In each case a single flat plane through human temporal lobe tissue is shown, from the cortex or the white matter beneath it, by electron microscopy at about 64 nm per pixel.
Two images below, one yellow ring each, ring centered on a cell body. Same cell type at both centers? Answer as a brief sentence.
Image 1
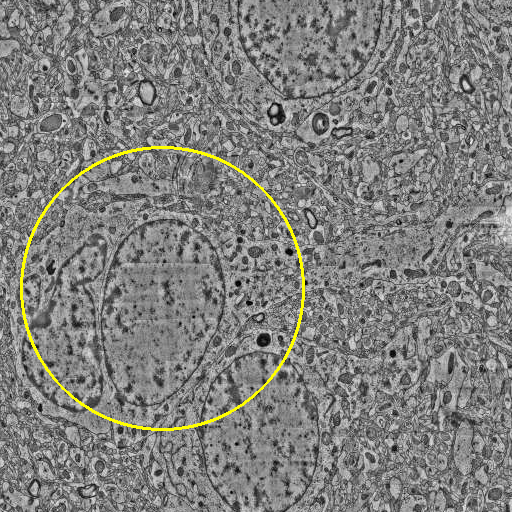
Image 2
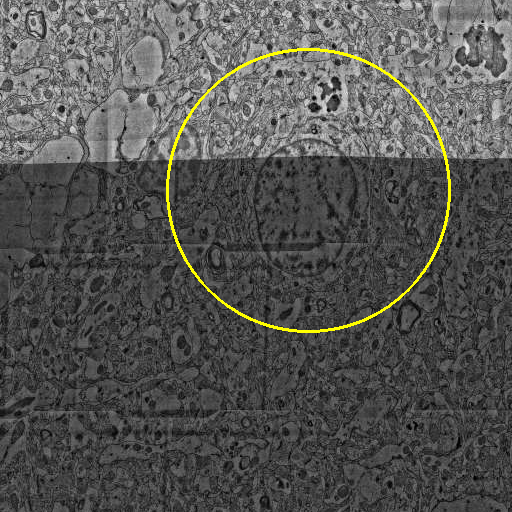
Yes, both cells are of the same type.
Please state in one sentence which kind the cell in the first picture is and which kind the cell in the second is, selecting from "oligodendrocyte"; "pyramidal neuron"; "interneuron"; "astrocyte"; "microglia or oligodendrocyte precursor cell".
The cell in the first picture is a pyramidal neuron, and so is the one in the second.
